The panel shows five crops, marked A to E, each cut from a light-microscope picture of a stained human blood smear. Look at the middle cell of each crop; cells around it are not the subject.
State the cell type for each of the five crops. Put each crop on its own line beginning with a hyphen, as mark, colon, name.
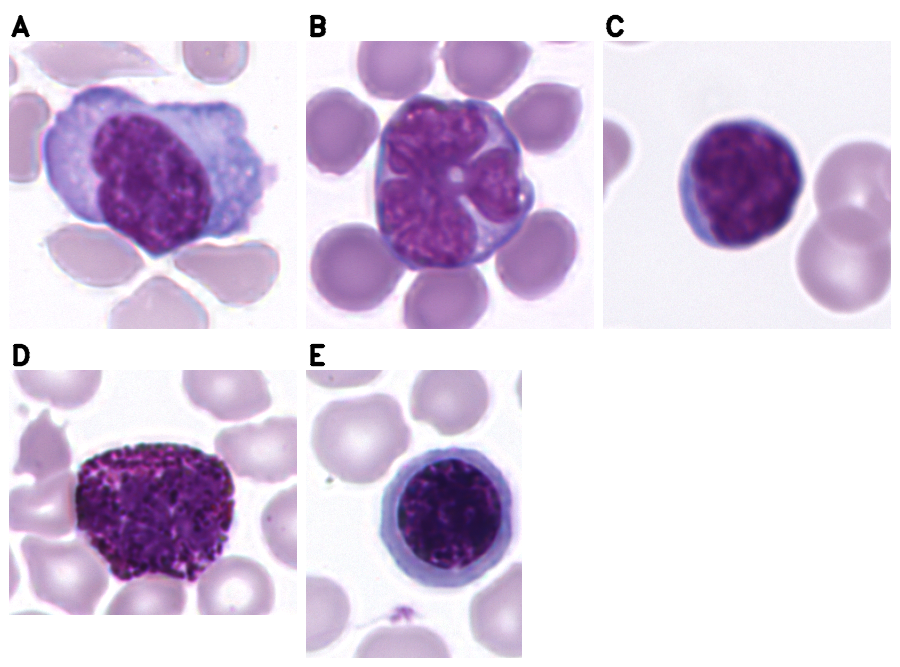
- A: plasma cell
- B: monocyte
- C: lymphocyte
- D: basophil
- E: erythroblast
